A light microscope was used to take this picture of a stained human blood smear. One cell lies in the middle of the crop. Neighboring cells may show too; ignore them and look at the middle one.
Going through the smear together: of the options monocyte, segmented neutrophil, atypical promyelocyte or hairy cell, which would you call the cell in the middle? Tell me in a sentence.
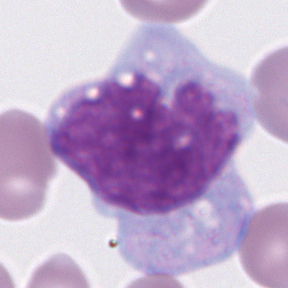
In the center of this field lies a monocyte.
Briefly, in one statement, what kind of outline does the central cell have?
The periphery of this cell is uneven, with ragged portions or projections.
